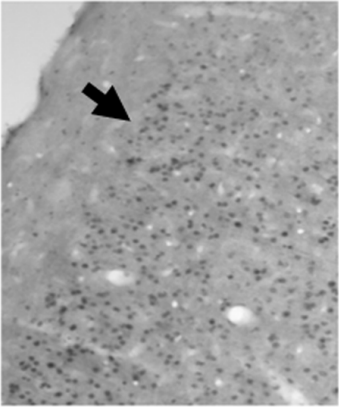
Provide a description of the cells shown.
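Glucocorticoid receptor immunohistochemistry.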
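Section of cerebral cortex in which many small, round to oval, darkly stained nuclei stand out against a pale grey neuropil. Cell bodies themselves are barely outlined; the staining is confined to the nuclei. A few round pale holes, likely vessel profiles, and faint pale streaks cross the tissue. An arrow points to the region below the surface where the stained nuclei begin.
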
